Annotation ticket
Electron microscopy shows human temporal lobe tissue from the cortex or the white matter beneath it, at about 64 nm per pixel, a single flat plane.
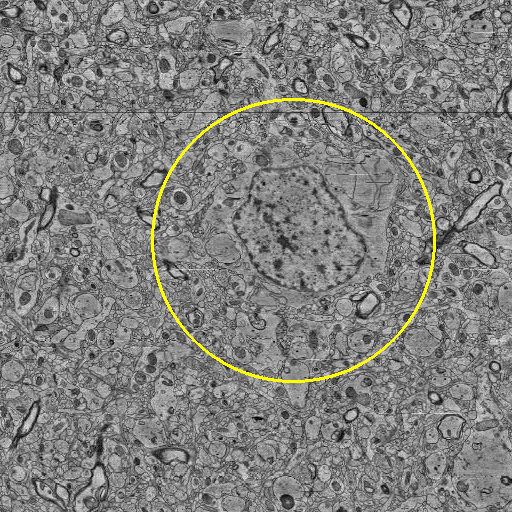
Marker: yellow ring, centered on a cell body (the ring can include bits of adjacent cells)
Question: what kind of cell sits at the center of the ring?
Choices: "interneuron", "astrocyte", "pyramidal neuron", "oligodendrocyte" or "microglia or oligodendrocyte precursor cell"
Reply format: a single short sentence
The ring is centered on an astrocyte.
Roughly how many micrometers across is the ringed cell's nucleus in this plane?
In this plane, the nucleus is roughly 9 by 8 micrometres.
